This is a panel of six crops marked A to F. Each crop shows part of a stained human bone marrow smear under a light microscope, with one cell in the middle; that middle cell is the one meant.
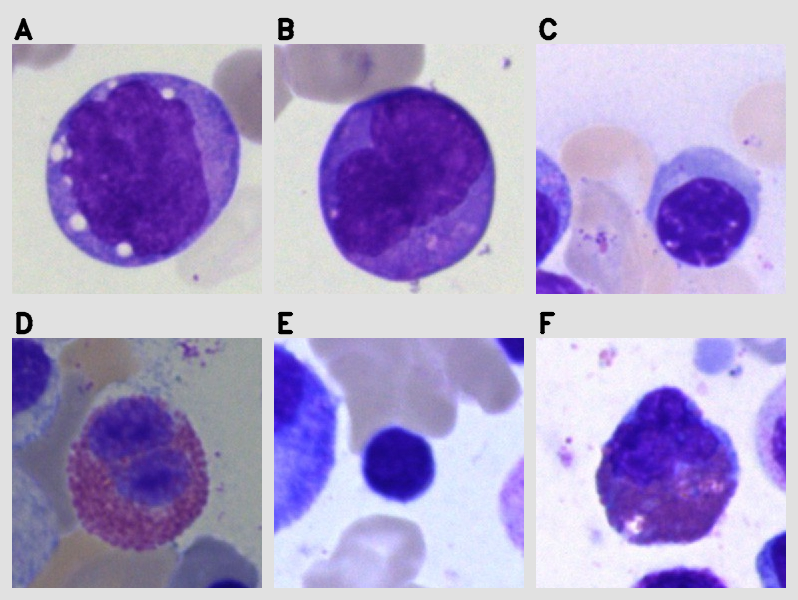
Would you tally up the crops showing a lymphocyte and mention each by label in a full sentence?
Among the crops provided, crop E is the one showing a lymphocyte.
